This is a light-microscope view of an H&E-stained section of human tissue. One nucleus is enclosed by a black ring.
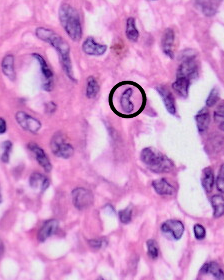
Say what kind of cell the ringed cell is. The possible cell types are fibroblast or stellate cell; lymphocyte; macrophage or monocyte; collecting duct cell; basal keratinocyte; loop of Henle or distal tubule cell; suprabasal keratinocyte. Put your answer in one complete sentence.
The classification of the ringed cell is as a macrophage or monocyte.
